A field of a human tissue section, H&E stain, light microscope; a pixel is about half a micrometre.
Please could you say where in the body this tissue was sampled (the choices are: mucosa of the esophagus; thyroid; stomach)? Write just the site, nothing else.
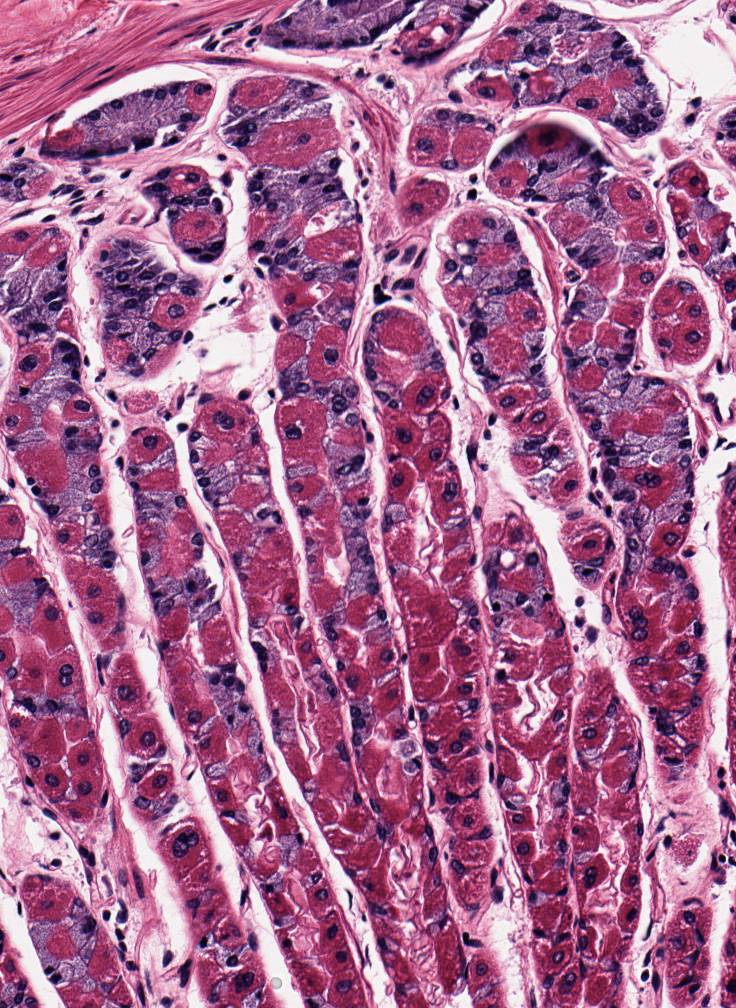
stomach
